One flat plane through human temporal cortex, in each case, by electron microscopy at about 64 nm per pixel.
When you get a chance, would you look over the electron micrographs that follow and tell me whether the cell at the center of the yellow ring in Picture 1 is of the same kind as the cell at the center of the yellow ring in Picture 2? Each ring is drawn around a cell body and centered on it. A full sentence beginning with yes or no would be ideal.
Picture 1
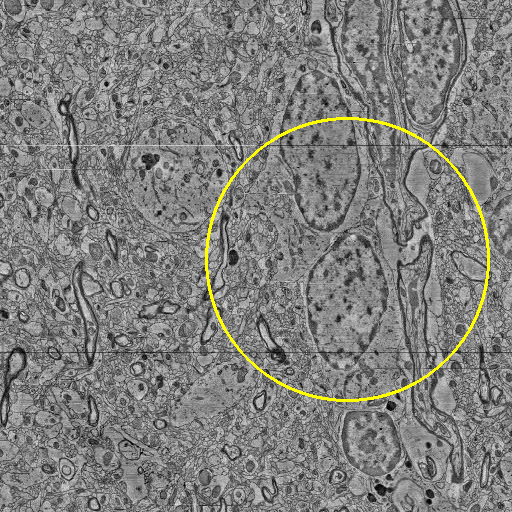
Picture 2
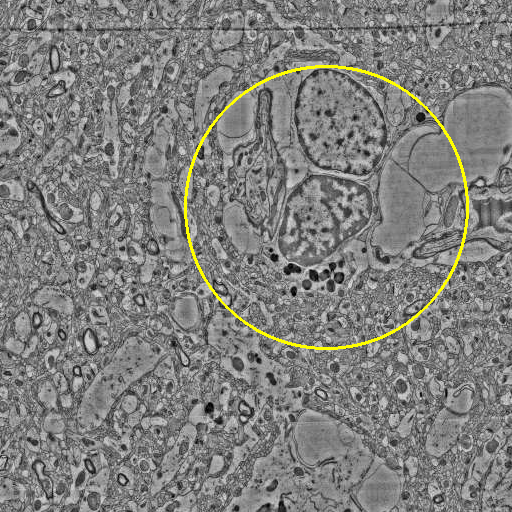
Yes, the two cells are of the same kind.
